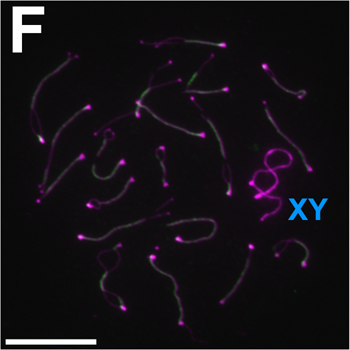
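A spread nucleus of a spermatocyte at diplotene, showing about twenty bivalents as magenta axial threads. Along many bivalents the two homologous axes have come apart, opening into loops and forks while staying joined at one or a few points. The ends of the axes carry bright, swollen magenta dots. A more intensely magenta, coiled pair at the lower right stands out from the autosomes. The background is dark and free of other material.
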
